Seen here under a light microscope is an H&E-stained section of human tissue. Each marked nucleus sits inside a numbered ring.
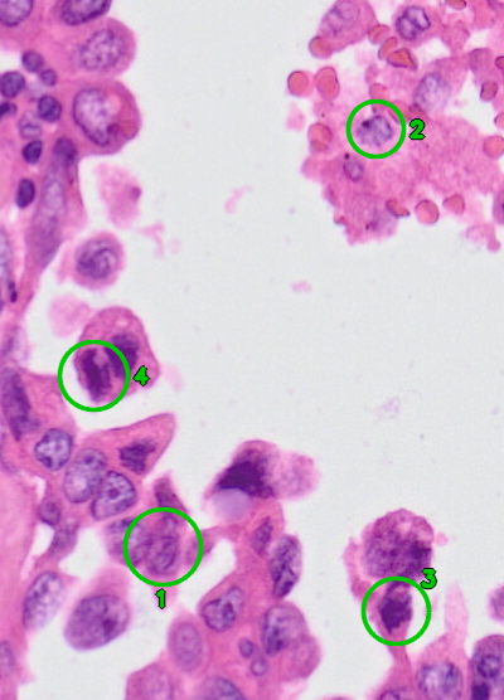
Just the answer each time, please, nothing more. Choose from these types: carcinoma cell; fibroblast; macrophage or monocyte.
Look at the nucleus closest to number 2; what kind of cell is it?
macrophage or monocyte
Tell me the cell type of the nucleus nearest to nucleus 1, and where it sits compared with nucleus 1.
a carcinoma cell; to the left of nucleus 1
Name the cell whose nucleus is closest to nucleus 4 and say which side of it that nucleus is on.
a carcinoma cell; above and to the right of nucleus 4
